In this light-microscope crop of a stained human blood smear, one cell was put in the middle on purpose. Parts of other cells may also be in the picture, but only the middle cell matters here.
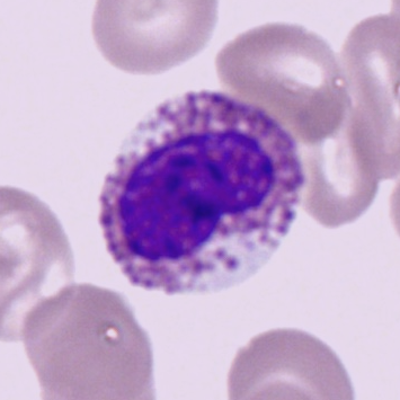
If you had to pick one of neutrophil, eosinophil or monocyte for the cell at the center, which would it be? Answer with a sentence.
The cell at the central position in this crop is an eosinophil.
